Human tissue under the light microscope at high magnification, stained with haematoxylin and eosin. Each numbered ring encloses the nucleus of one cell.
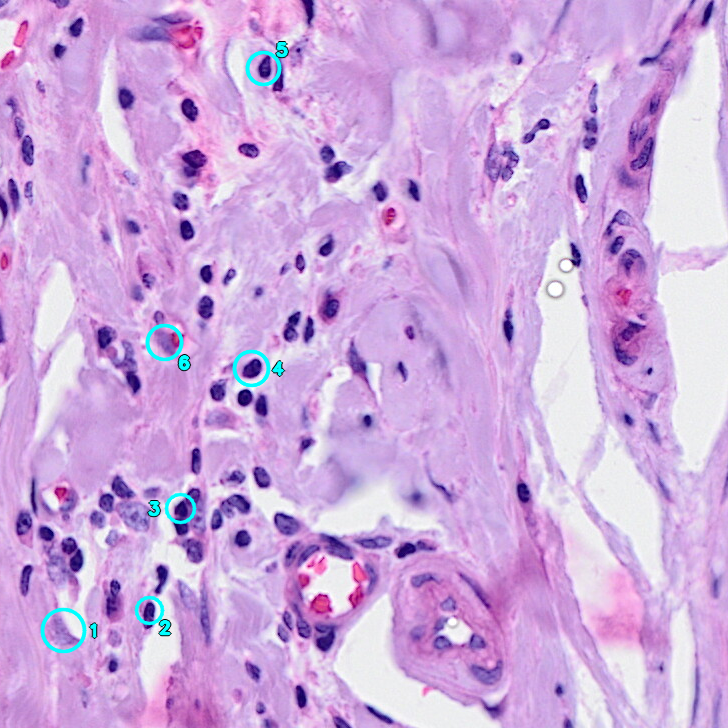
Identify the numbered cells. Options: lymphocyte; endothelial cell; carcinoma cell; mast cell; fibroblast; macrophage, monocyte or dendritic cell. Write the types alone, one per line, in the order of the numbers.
fibroblast
lymphocyte
lymphocyte
lymphocyte
lymphocyte
endothelial cell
